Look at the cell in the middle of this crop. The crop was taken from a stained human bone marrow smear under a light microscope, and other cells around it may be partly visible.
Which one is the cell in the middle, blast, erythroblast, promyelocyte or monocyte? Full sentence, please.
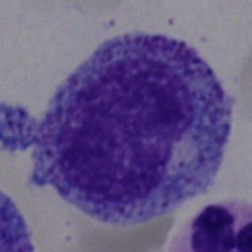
The cell in the exact centre of the crop is a promyelocyte.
